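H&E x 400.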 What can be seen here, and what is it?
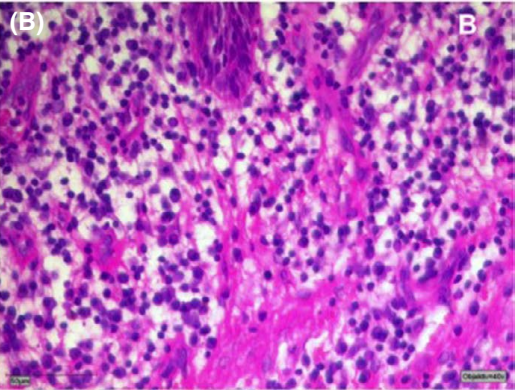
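This is fibrous stromal connective tissue crowded with inflammatory cells, most of them plasma cells. The cells are round to oval with dense, dark purple, round nuclei that often sit off to one side of a small rim of purplish cytoplasm. They lie in loose sheets between pink bands of collagen fibres, with a few elongated stromal nuclei among them.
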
